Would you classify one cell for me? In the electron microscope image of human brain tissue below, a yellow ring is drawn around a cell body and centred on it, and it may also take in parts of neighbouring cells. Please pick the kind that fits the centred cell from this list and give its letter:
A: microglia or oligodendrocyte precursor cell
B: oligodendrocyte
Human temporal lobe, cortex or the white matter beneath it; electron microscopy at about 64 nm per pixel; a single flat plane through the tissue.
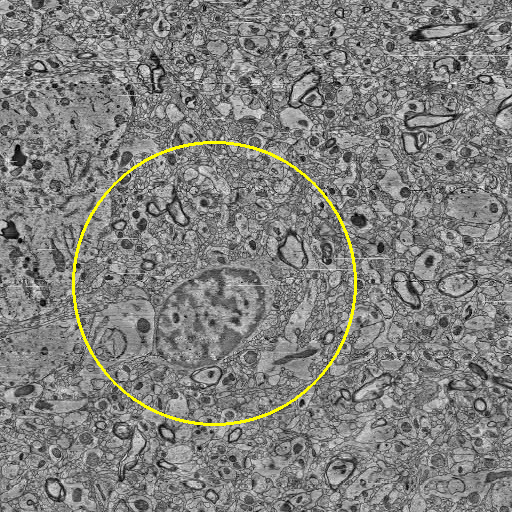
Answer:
B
